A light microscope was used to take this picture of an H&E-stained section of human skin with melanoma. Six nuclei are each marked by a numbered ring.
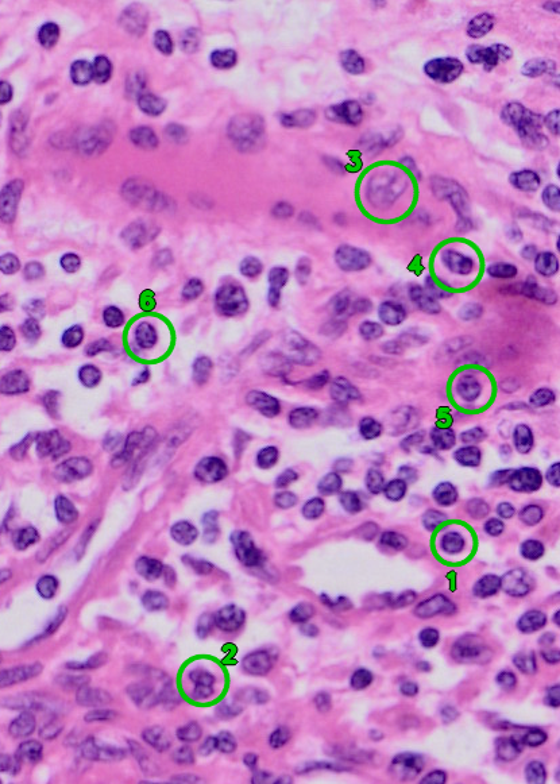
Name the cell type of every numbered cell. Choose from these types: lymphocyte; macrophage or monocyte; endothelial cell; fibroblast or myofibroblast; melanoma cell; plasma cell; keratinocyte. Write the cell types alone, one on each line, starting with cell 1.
lymphocyte
macrophage or monocyte
endothelial cell
lymphocyte
lymphocyte
lymphocyte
